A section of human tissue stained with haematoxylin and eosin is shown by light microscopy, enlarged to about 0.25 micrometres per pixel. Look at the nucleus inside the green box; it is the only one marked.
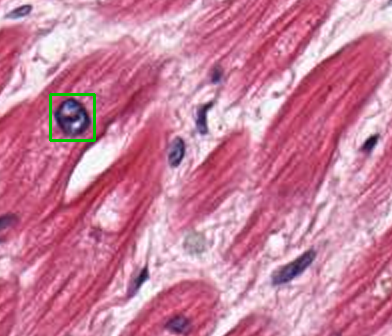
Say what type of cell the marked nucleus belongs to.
cardiomyocyte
